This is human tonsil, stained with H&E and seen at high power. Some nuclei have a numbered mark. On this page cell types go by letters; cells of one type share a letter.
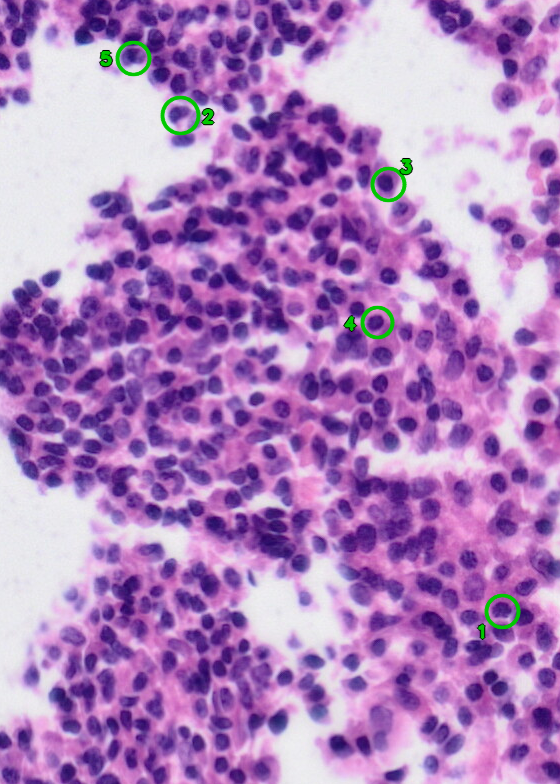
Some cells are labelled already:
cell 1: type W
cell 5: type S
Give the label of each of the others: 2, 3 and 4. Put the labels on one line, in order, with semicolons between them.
type S; type W; type W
